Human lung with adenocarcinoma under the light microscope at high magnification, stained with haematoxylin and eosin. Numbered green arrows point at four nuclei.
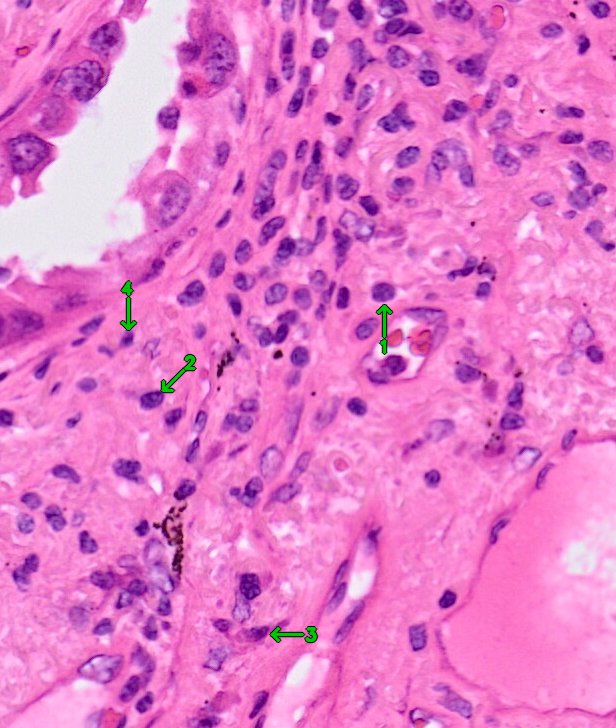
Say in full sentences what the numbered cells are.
Cell 1 is a lymphocyte, cell 2 is a lymphocyte, cell 3 is a plasma cell and cell 4 is a lymphocyte.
